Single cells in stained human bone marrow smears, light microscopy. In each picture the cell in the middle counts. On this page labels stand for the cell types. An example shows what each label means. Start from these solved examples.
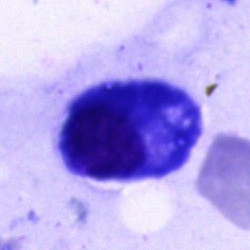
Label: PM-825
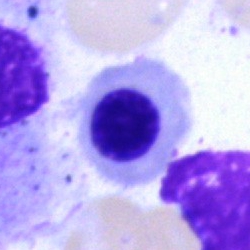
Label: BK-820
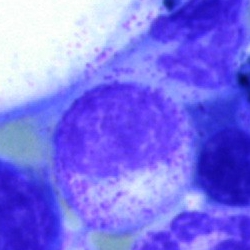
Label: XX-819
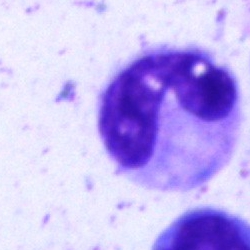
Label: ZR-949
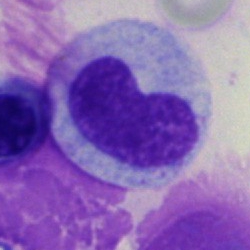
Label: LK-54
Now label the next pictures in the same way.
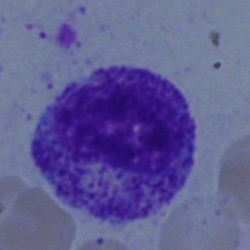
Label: XX-819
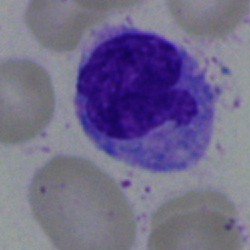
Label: LK-54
